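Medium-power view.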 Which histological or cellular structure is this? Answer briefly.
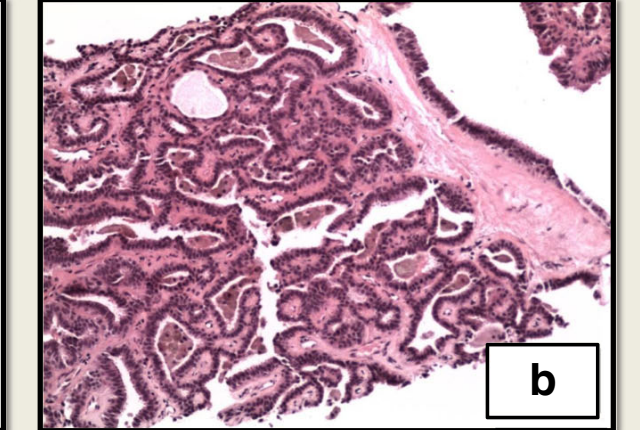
Fibrovascular cores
